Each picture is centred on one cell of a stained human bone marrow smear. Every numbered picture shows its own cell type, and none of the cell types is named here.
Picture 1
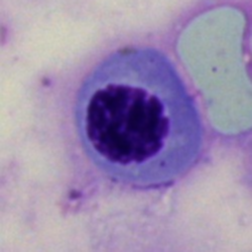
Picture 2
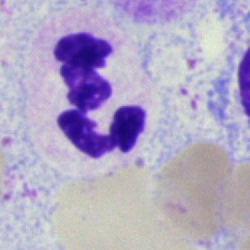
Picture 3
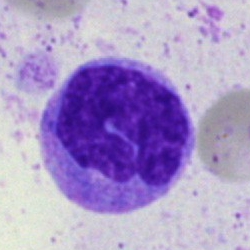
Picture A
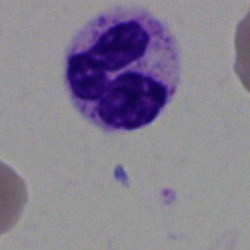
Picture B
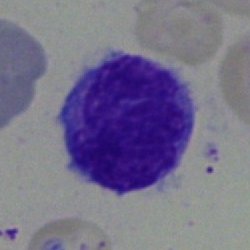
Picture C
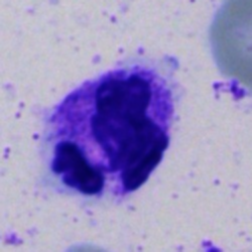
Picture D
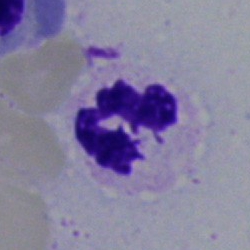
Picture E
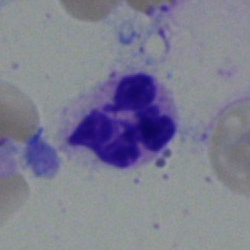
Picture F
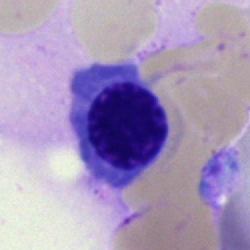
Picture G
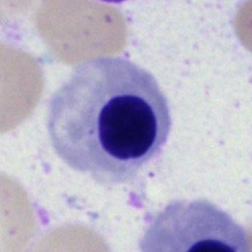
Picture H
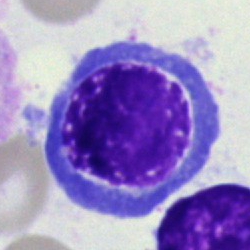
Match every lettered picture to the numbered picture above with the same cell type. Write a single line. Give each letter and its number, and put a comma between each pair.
A 2, B 3, C 2, D 2, E 2, F 1, G 1, H 1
